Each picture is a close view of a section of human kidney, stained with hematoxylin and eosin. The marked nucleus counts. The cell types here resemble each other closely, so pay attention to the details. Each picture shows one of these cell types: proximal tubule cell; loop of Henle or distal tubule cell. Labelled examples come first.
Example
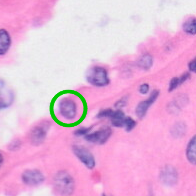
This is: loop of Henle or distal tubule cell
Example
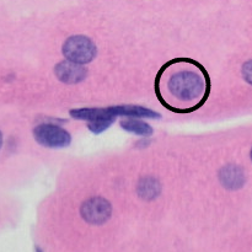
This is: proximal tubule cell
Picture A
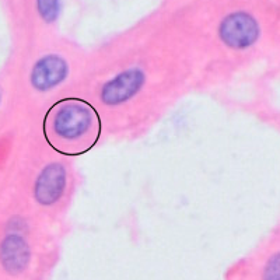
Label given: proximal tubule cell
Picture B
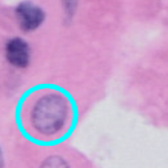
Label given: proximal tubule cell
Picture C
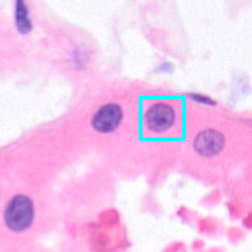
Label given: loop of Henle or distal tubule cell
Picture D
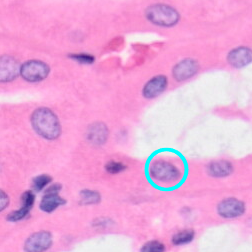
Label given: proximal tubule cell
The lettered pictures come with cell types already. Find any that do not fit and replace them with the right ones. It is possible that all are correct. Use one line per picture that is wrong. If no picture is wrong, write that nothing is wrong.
C: proximal tubule cell, not loop of Henle or distal tubule cell
D: loop of Henle or distal tubule cell, not proximal tubule cell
